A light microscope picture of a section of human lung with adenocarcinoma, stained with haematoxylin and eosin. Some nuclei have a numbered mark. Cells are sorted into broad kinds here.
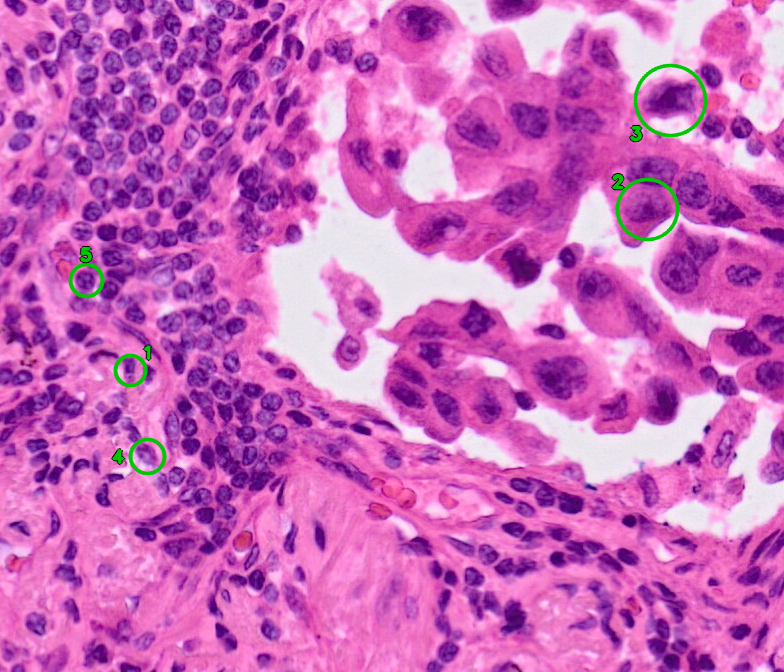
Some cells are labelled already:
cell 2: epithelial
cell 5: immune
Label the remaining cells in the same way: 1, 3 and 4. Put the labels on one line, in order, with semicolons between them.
immune; epithelial; immune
